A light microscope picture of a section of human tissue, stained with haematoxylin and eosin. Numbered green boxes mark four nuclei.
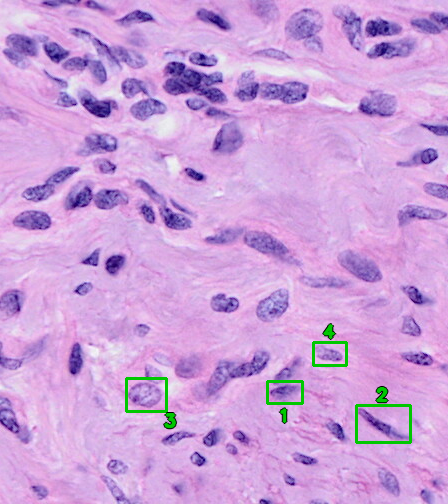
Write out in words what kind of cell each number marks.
Cell 1 is a fibroblast, cell 2 is a fibroblast, cell 3 is an endothelial cell and cell 4 is a fibroblast.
